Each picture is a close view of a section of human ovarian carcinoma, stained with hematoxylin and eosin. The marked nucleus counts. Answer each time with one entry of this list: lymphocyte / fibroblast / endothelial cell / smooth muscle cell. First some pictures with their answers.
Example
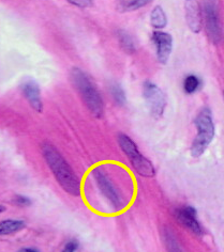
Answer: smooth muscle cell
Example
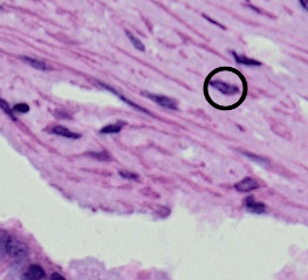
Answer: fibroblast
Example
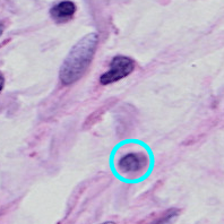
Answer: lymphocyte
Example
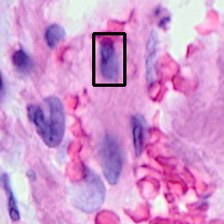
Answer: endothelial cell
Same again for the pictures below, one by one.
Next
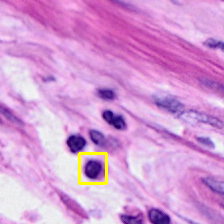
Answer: lymphocyte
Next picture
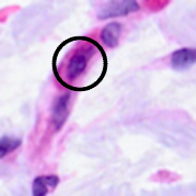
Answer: endothelial cell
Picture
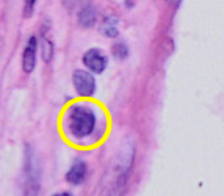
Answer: lymphocyte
